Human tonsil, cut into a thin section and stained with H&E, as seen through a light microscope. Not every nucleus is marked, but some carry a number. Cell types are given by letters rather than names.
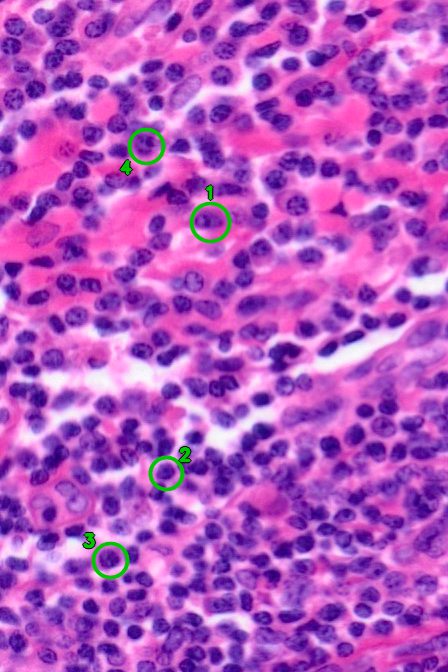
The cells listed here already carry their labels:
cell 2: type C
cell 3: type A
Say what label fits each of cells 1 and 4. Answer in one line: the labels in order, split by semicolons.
type A; type A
